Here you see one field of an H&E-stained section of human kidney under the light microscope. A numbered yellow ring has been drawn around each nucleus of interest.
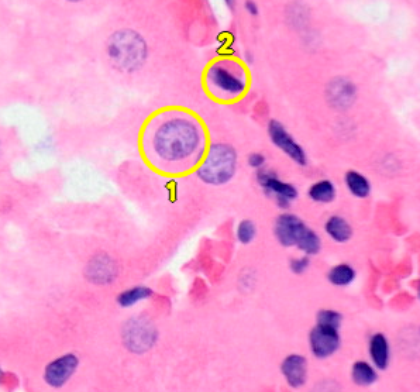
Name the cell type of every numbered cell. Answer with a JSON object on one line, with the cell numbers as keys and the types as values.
{"1": "proximal tubule cell", "2": "endothelial cell"}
